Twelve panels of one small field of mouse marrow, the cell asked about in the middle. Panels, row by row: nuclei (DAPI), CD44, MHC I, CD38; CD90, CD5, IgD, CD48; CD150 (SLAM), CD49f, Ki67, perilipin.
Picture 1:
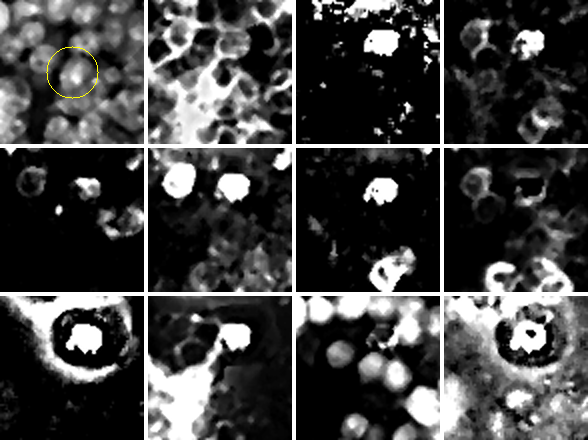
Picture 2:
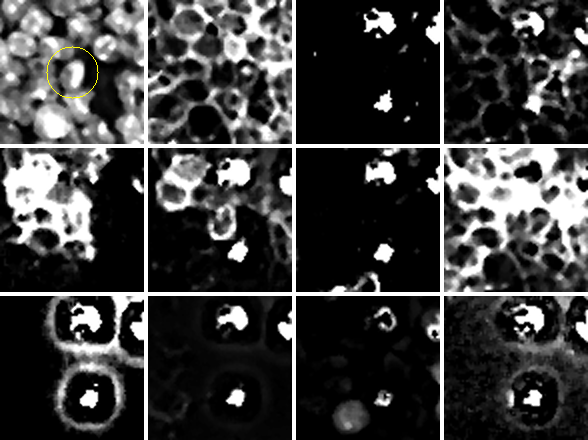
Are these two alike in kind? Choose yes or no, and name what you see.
No. First a neutrophil, second a T cell.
